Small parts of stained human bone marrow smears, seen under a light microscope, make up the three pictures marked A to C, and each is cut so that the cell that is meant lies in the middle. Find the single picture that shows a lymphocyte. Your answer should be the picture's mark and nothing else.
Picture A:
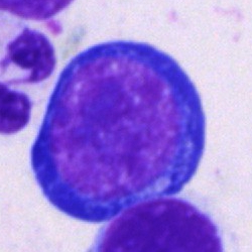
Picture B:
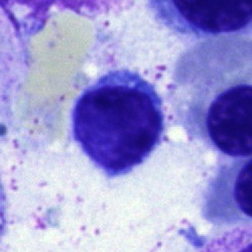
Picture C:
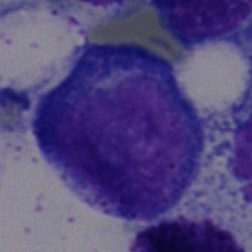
B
